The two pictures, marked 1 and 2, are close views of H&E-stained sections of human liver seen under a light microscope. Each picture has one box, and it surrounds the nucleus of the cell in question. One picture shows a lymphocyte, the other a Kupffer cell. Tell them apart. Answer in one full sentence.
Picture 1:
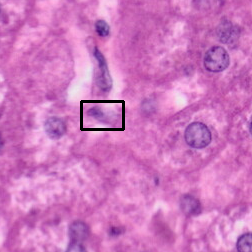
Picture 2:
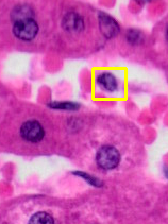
Picture 1 is of a Kupffer cell, and picture 2 is of a lymphocyte.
